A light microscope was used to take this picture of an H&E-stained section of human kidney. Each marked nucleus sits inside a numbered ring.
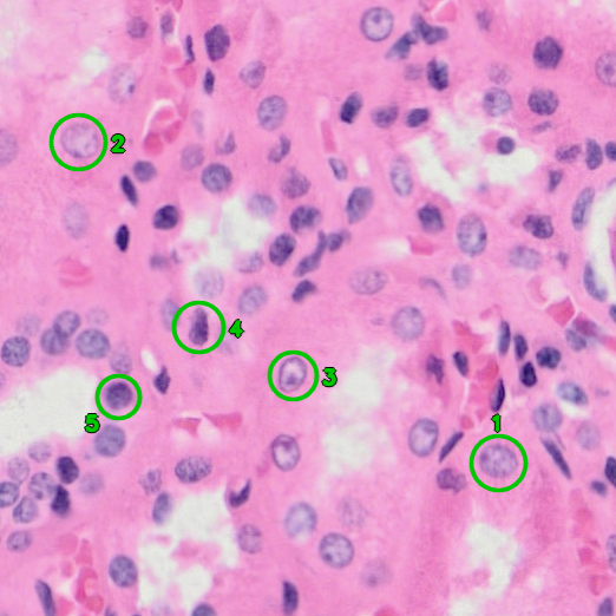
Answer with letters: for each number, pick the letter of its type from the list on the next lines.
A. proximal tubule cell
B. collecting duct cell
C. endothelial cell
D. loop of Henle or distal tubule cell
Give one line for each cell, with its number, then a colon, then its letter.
1: A
2: A
3: A
4: D
5: B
